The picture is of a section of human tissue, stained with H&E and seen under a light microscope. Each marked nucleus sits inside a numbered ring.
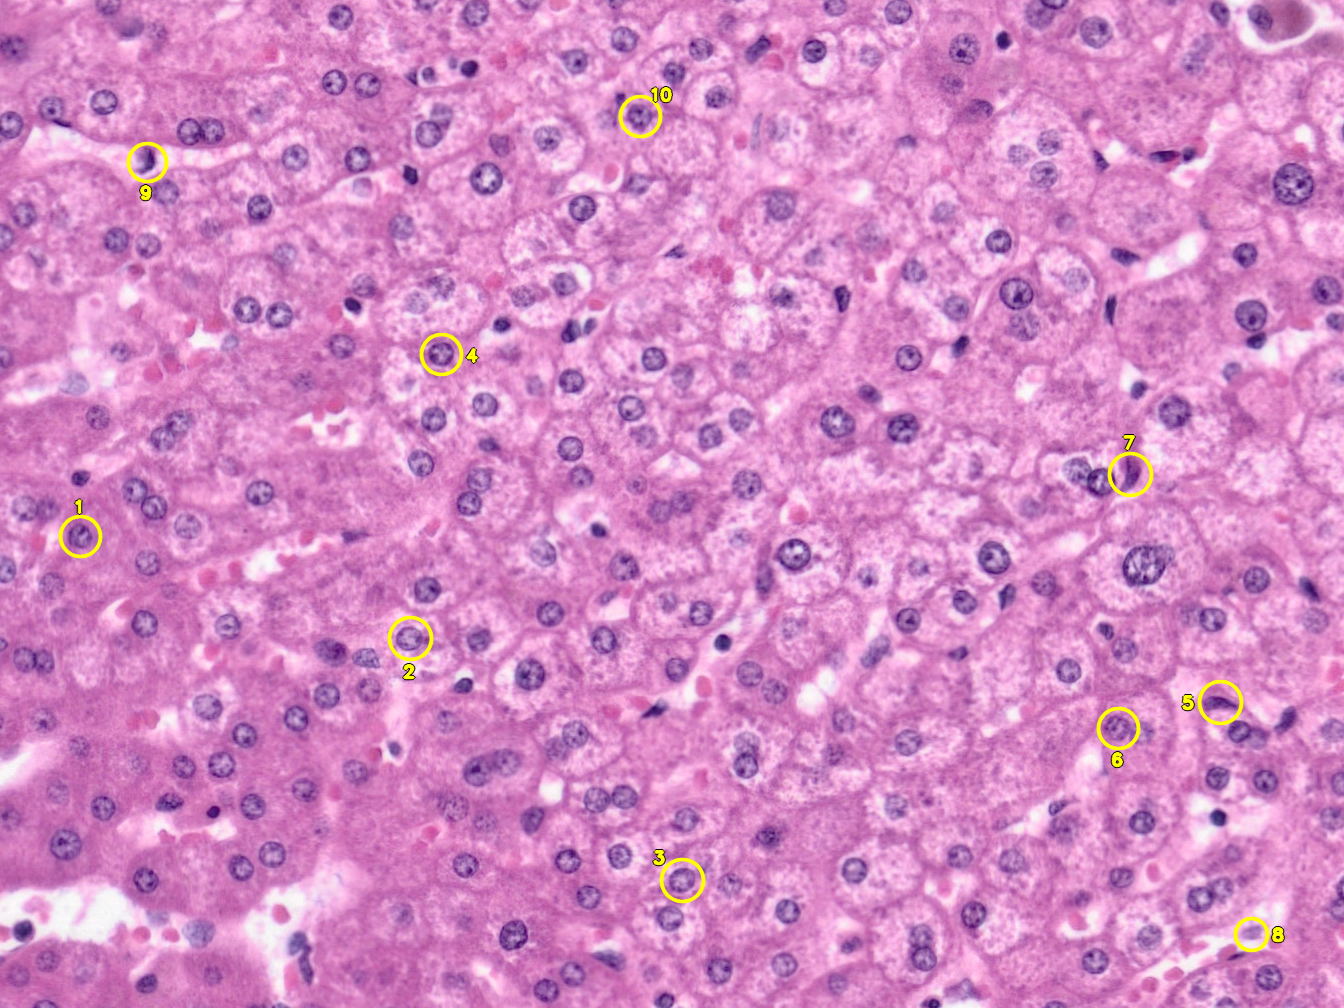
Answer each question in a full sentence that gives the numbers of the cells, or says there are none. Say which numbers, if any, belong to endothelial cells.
Cell number 9 alone is an endothelial cell; the rest are not.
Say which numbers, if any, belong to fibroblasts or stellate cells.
Cell 5 is a fibroblast or stellate cell, while every other numbered cell is not.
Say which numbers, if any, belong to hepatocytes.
The cells identified by the numbers 1, 2, 3, 4, 6 and 10 are hepatocytes.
